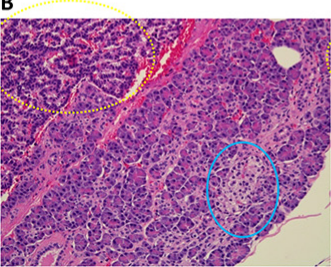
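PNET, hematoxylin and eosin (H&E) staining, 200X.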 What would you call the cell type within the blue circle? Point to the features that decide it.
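The circled cluster is paler-staining than the surrounding tissue. The circled cells are small, loosely arranged, with round nuclei. The cluster is set among darker purple cells arranged in small groups. The answer: islet cells.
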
